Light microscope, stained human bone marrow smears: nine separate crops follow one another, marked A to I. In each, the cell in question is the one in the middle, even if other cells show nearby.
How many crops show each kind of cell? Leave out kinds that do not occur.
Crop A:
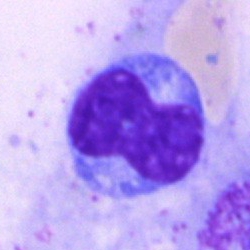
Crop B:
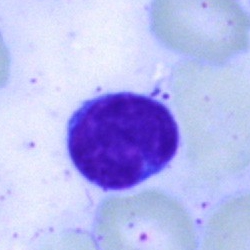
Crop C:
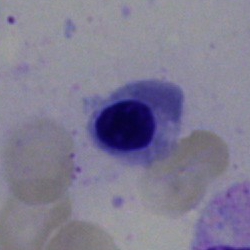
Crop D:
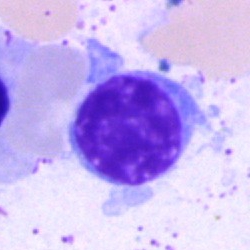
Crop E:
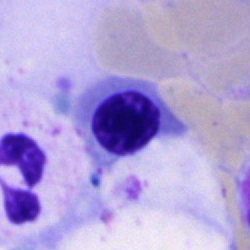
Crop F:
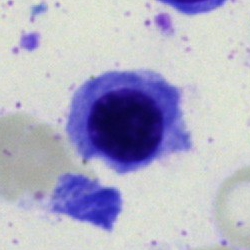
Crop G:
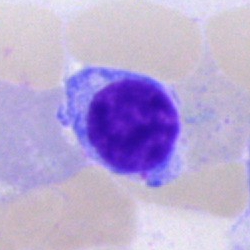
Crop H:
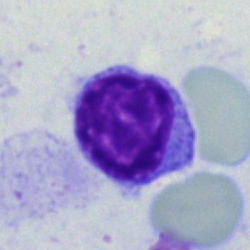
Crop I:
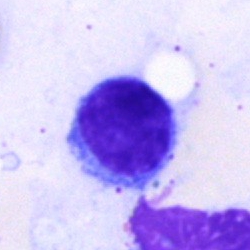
lymphocyte: 6
erythroblast: 3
